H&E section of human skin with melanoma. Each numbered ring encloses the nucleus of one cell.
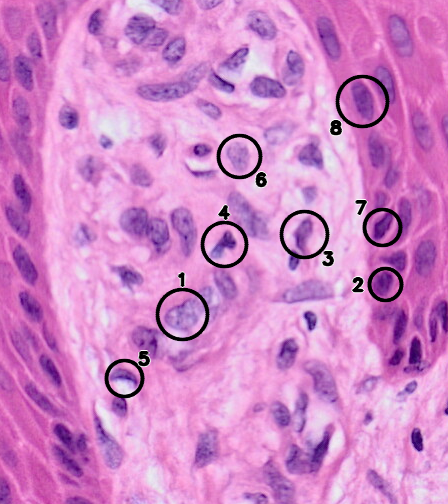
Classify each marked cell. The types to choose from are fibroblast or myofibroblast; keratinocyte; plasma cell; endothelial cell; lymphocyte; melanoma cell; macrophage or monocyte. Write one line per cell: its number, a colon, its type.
1: endothelial cell
2: keratinocyte
3: fibroblast or myofibroblast
4: lymphocyte
5: fibroblast or myofibroblast
6: fibroblast or myofibroblast
7: keratinocyte
8: keratinocyte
